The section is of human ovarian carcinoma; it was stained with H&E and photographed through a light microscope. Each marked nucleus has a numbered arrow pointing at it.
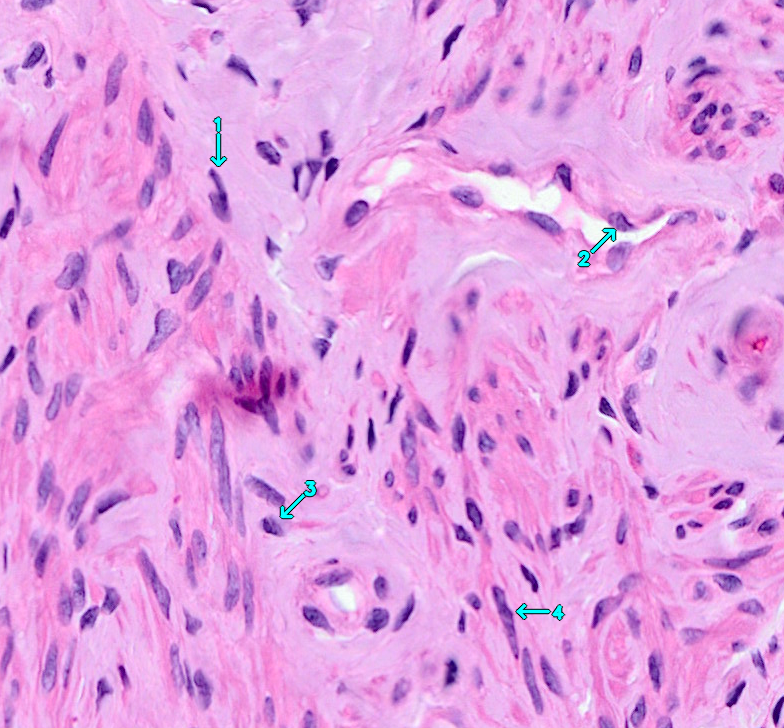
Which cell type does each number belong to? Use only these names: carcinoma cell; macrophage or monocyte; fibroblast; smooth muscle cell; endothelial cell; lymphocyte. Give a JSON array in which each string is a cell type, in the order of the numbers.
["fibroblast", "endothelial cell", "fibroblast", "smooth muscle cell"]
